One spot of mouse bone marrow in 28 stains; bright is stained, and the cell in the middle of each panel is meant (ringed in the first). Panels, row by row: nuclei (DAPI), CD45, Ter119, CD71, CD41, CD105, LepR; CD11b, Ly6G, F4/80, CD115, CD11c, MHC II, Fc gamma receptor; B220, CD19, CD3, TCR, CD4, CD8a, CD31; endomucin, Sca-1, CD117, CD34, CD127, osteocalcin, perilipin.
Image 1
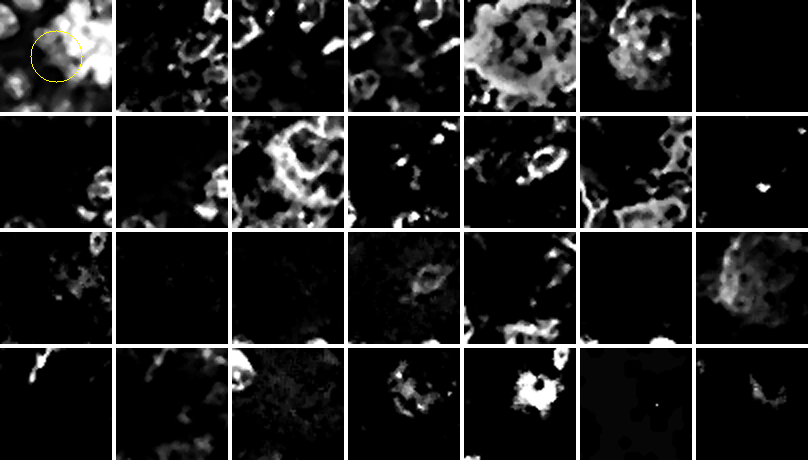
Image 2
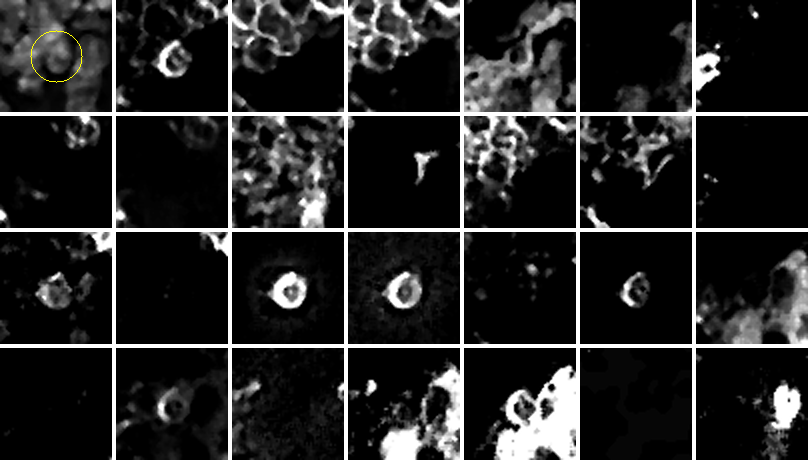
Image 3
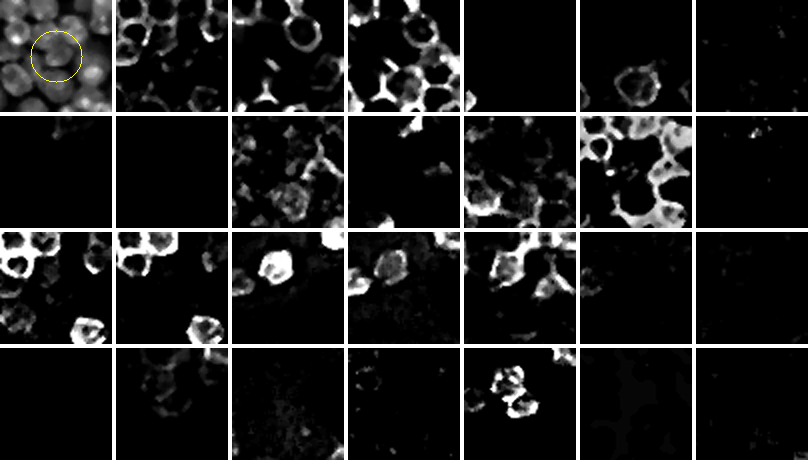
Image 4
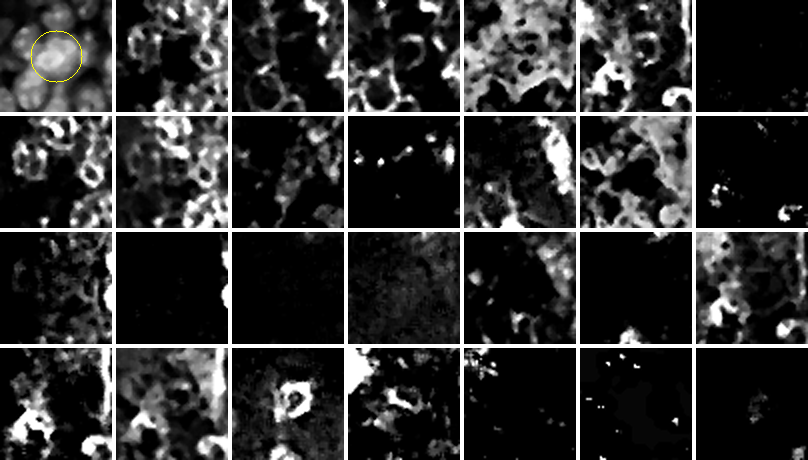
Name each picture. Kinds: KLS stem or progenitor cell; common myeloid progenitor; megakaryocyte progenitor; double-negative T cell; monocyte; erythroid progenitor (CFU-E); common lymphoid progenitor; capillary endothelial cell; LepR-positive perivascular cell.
1. common lymphoid progenitor
2. double-negative T cell
3. common lymphoid progenitor
4. megakaryocyte progenitor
